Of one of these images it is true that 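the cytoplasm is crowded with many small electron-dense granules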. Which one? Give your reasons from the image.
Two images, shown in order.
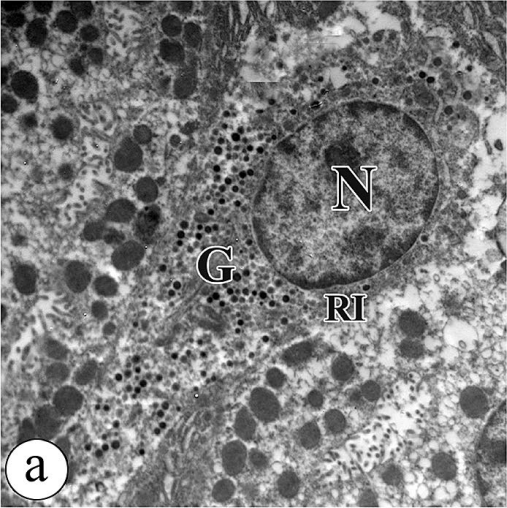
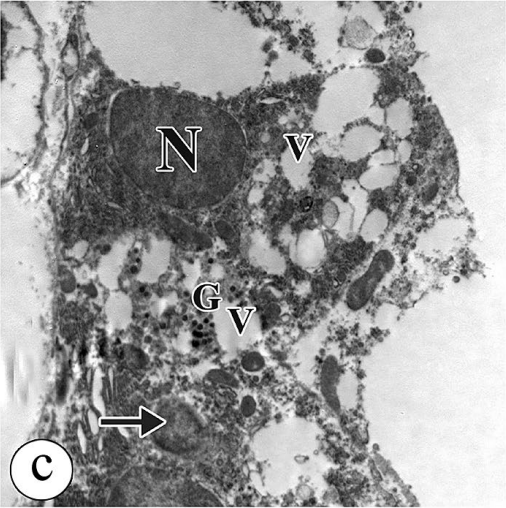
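The first image. Second image: only a small cluster of dark granules is seen amid clear vacuoles. First image: numerous small dark granules crowd the cytoplasm around the nucleus.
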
